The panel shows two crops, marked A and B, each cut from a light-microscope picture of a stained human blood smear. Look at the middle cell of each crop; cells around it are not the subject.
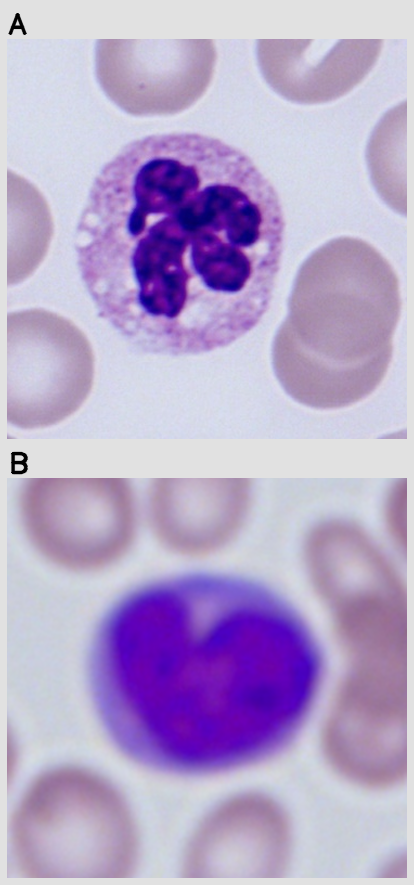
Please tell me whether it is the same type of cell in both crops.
no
